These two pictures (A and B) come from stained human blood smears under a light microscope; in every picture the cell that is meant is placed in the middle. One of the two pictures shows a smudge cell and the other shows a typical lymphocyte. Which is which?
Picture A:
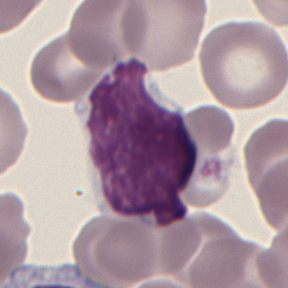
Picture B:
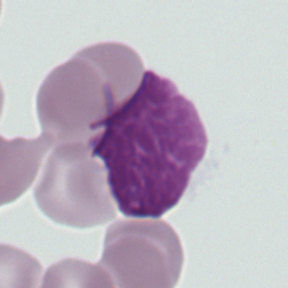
A: typical lymphocyte
B: smudge cell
